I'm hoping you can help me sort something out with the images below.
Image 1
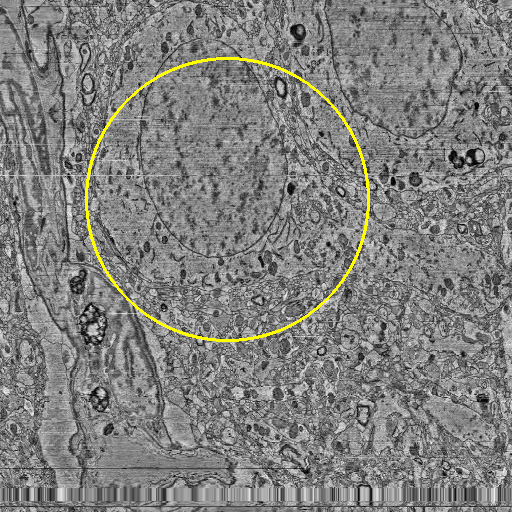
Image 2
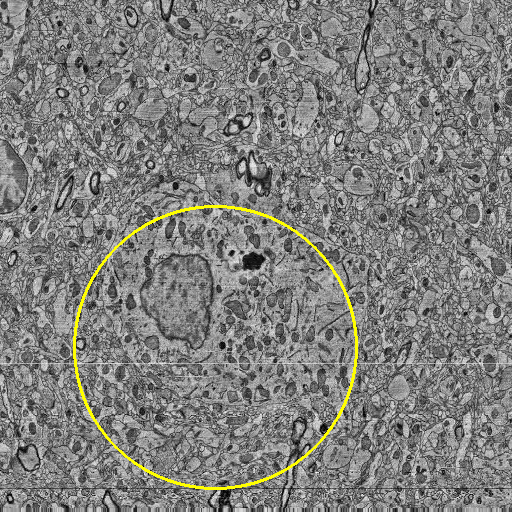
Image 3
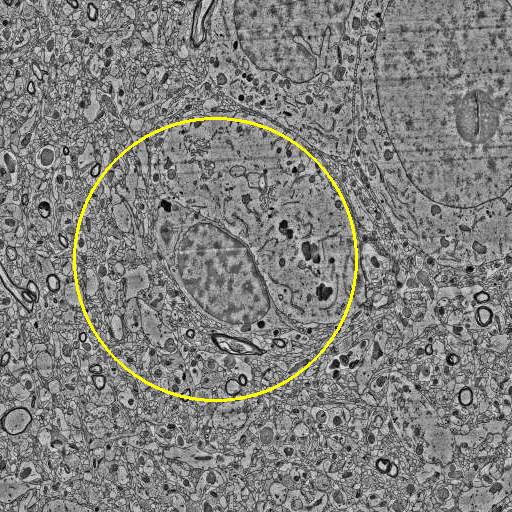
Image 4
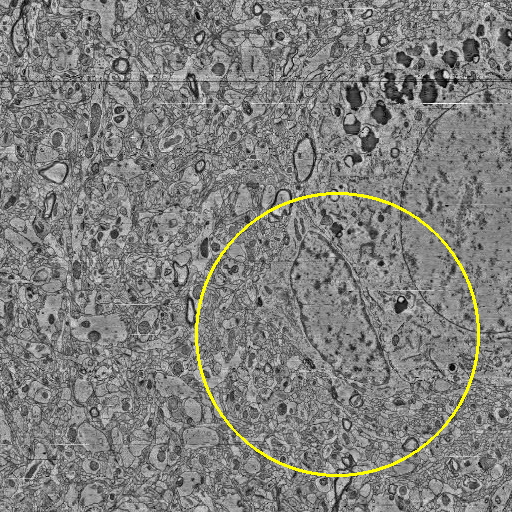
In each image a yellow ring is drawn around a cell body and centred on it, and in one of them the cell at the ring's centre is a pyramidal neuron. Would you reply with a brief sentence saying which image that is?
In Image 1, the cell at the centre of the ring is the one you asked about.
